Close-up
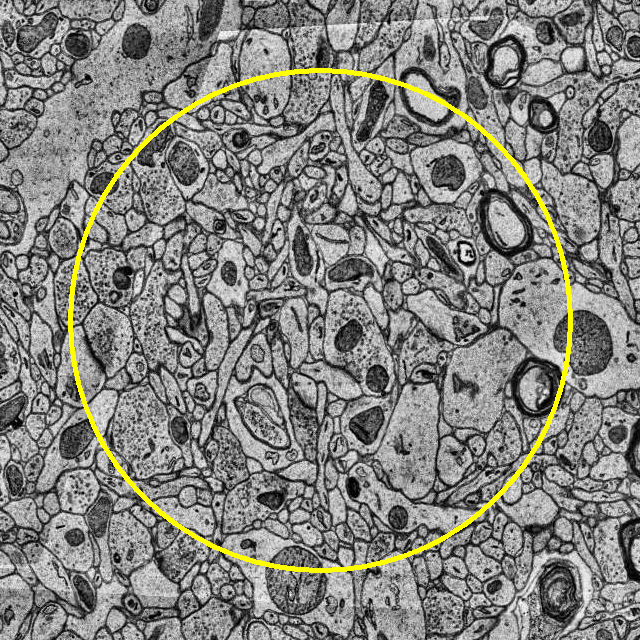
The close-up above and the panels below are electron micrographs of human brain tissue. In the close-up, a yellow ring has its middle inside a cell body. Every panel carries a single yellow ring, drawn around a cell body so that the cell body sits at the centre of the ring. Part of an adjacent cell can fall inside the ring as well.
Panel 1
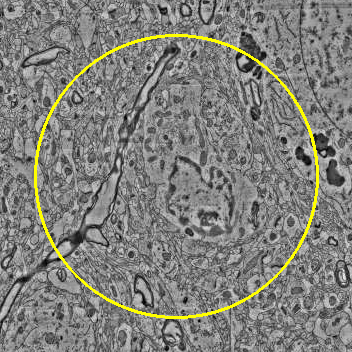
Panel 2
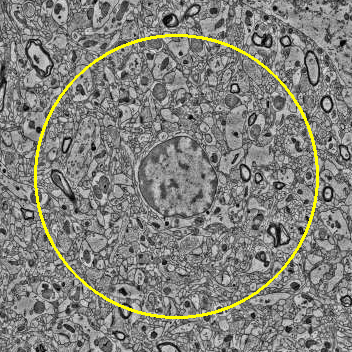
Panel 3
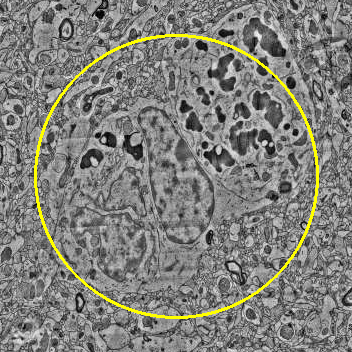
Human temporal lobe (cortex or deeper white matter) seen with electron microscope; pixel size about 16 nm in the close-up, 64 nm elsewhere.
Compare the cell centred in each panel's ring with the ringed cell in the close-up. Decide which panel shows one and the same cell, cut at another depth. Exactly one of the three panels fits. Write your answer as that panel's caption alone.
Panel 2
